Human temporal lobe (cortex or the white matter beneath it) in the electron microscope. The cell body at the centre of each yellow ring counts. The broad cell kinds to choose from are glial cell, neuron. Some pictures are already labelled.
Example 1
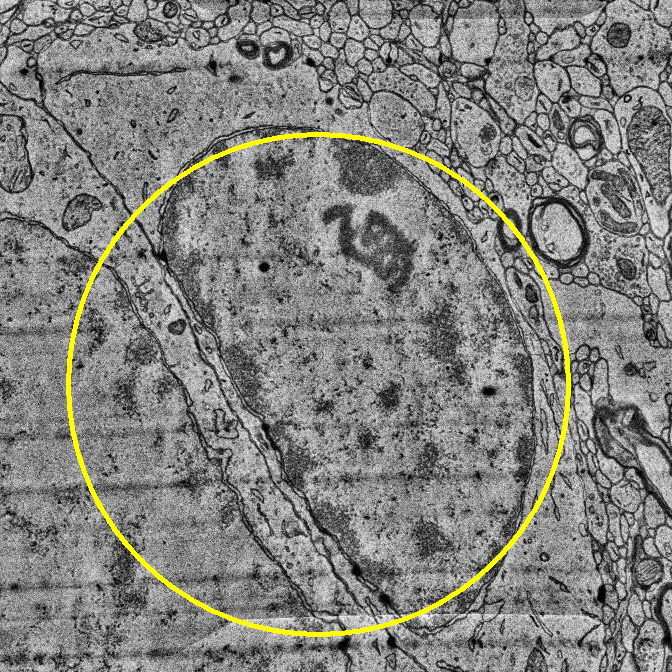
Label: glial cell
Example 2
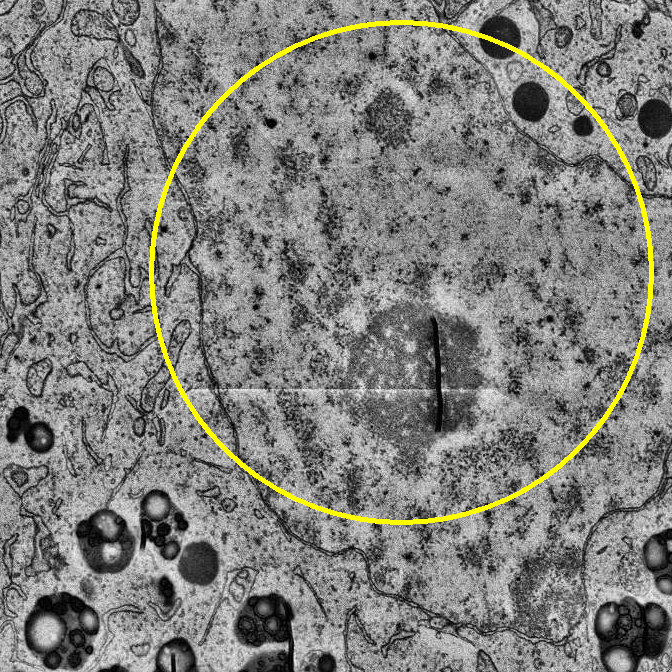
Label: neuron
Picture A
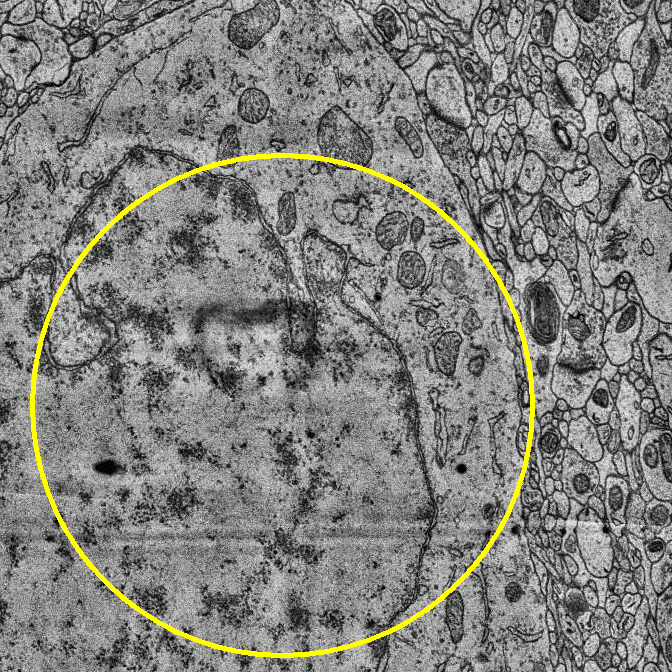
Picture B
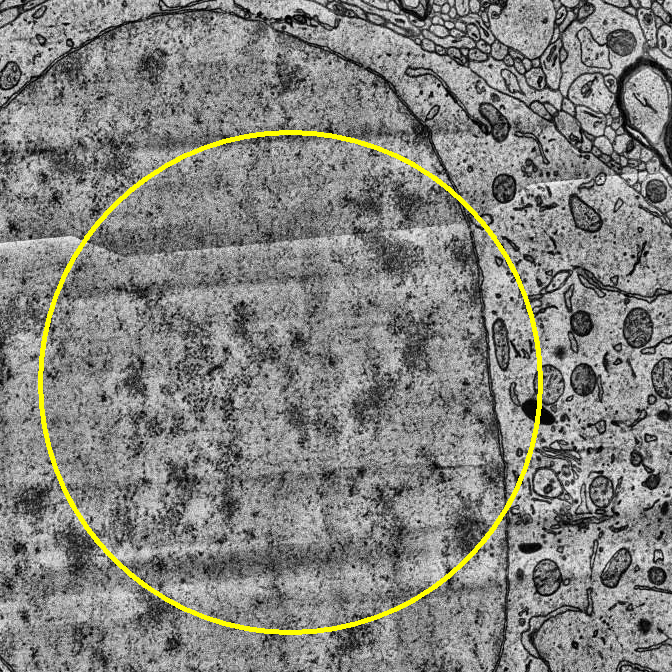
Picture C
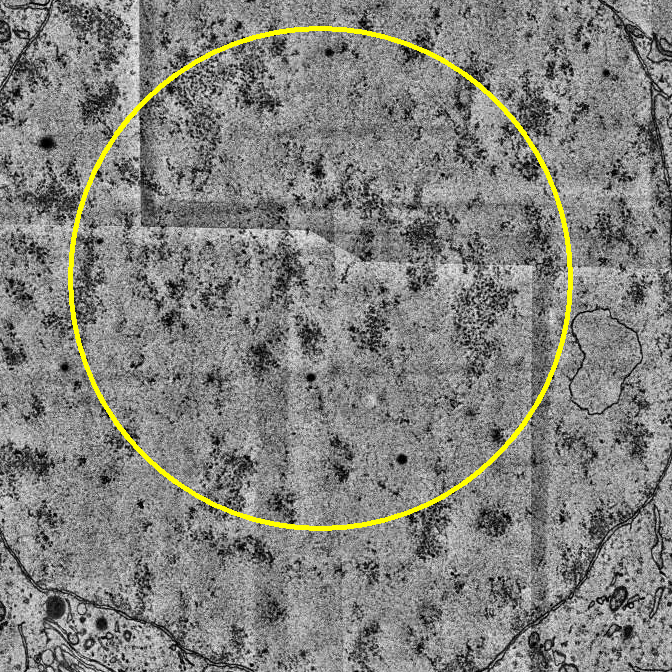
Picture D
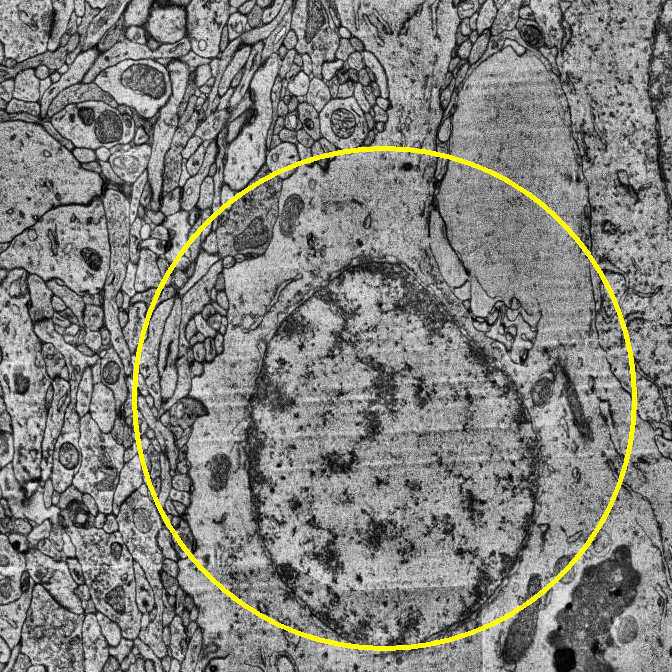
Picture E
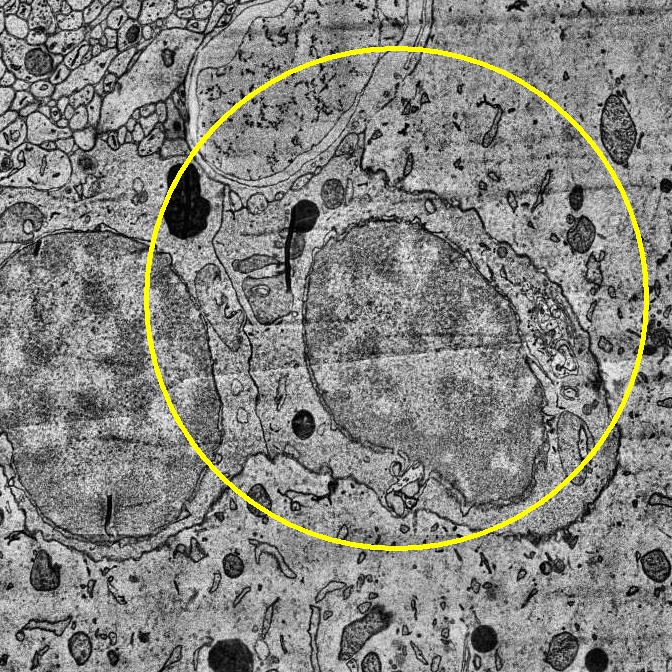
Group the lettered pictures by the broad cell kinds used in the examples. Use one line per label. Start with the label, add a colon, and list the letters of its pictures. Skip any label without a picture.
glial cell: D, E
neuron: A, B, C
